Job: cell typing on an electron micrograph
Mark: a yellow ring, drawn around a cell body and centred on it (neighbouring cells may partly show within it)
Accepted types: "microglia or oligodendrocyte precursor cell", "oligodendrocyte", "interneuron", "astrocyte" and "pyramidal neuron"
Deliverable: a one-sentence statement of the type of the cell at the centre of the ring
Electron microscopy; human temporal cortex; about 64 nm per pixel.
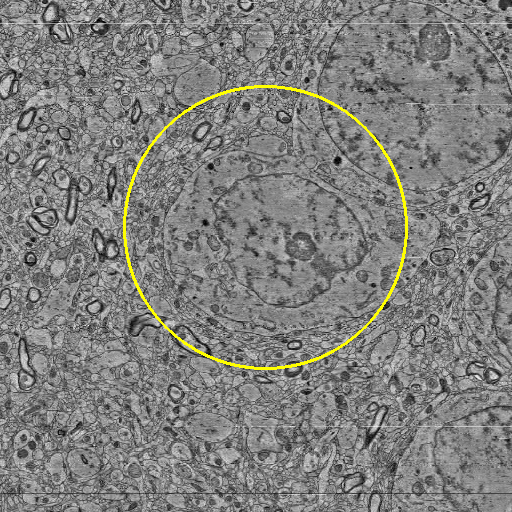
The centred cell body is that of a pyramidal neuron.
